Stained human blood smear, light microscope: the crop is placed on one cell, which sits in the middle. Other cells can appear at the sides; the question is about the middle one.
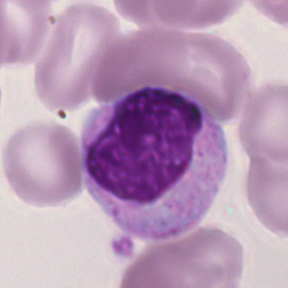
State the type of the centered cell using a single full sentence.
Among the cells in view, the one in the middle is a myelocyte.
